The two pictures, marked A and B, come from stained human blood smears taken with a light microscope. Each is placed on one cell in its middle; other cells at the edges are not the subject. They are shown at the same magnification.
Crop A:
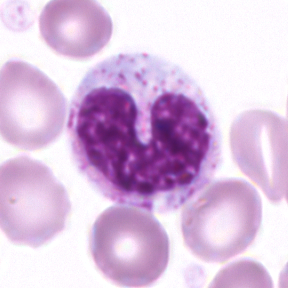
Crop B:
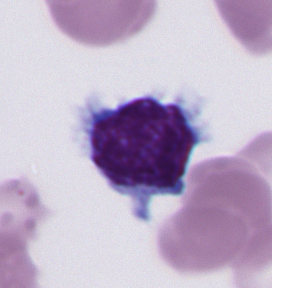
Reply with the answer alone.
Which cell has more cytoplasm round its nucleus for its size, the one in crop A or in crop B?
A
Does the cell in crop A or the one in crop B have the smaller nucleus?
B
